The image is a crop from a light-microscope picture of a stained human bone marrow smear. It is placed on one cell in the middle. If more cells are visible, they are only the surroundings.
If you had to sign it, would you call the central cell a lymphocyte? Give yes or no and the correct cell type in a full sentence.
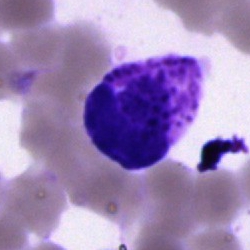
No, the centred cell is a basophil, and it is not a lymphocyte.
